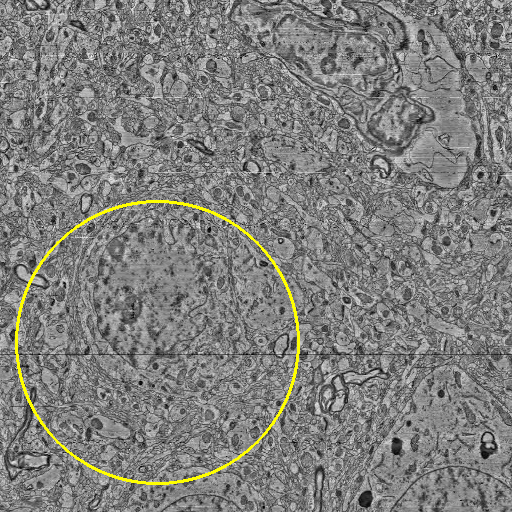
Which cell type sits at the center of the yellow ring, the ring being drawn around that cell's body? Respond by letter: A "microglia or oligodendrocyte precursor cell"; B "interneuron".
B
